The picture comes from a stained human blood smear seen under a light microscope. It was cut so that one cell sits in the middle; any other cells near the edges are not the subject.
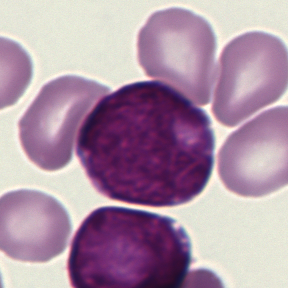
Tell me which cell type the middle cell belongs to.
myeloblast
